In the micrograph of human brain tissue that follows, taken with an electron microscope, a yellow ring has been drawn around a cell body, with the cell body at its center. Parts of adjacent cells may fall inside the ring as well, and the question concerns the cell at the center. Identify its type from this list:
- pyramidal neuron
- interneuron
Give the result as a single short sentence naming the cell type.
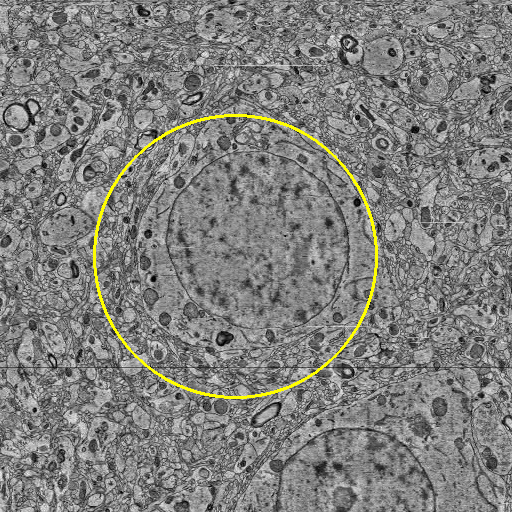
The ring is centered on a pyramidal neuron.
